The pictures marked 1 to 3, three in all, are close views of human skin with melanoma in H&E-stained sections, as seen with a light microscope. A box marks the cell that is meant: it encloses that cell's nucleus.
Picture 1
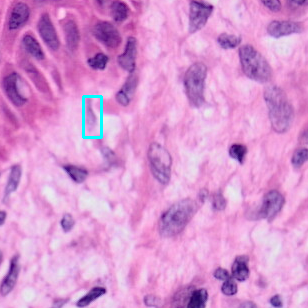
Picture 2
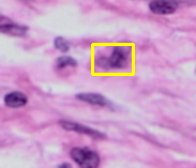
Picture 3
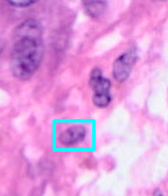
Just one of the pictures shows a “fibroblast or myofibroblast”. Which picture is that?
1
